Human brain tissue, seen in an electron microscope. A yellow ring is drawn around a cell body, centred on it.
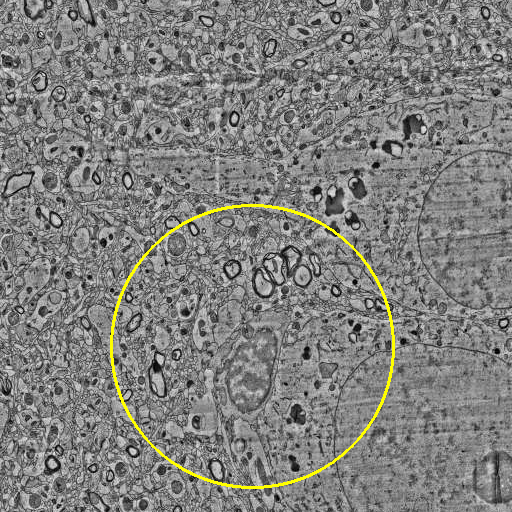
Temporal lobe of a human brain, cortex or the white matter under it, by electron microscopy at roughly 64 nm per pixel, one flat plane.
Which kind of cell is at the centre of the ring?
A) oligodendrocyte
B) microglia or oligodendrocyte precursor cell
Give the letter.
A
